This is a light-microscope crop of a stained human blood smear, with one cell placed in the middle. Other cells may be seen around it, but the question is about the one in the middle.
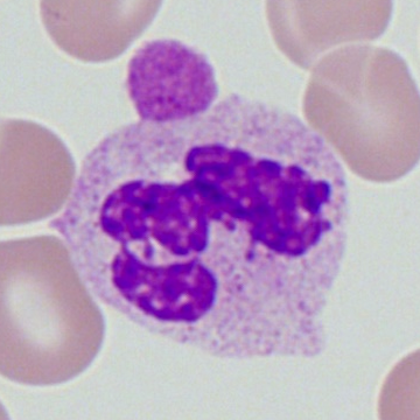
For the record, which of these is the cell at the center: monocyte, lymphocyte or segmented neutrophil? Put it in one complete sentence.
The centered cell in this crop is a segmented neutrophil.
